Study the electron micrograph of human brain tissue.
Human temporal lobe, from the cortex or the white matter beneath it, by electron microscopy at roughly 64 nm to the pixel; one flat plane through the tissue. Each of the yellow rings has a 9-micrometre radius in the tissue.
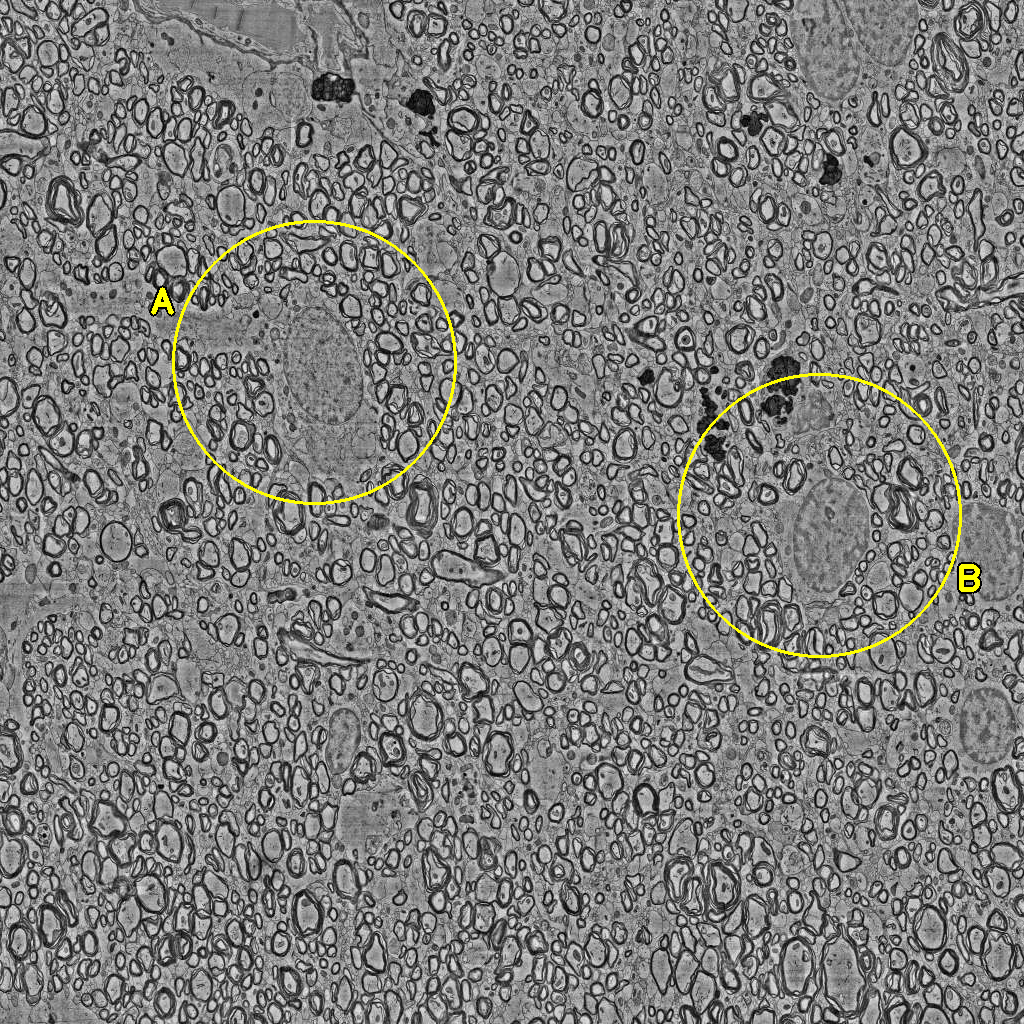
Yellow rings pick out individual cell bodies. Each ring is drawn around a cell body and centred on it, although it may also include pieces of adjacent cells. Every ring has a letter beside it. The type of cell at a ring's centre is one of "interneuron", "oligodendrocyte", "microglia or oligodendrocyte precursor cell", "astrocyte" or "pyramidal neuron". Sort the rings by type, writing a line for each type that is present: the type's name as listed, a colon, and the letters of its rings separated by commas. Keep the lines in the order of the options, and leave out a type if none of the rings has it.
oligodendrocyte: B
astrocyte: A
